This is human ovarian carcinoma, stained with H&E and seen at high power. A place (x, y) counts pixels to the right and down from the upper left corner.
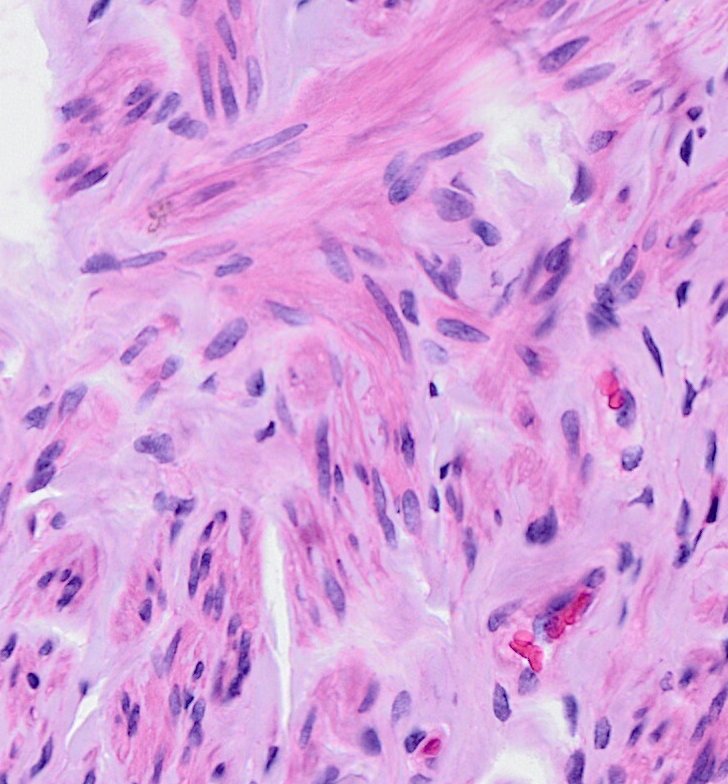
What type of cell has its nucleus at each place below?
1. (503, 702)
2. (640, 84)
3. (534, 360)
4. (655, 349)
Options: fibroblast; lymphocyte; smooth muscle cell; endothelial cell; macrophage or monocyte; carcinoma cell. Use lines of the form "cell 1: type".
cell 1: fibroblast
cell 2: smooth muscle cell
cell 3: smooth muscle cell
cell 4: fibroblast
